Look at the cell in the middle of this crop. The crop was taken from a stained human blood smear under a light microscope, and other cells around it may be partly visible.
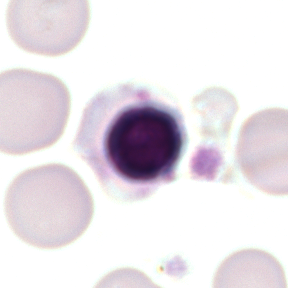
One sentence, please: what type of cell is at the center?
Whatever else lies nearby, the middle cell is a normoblast.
